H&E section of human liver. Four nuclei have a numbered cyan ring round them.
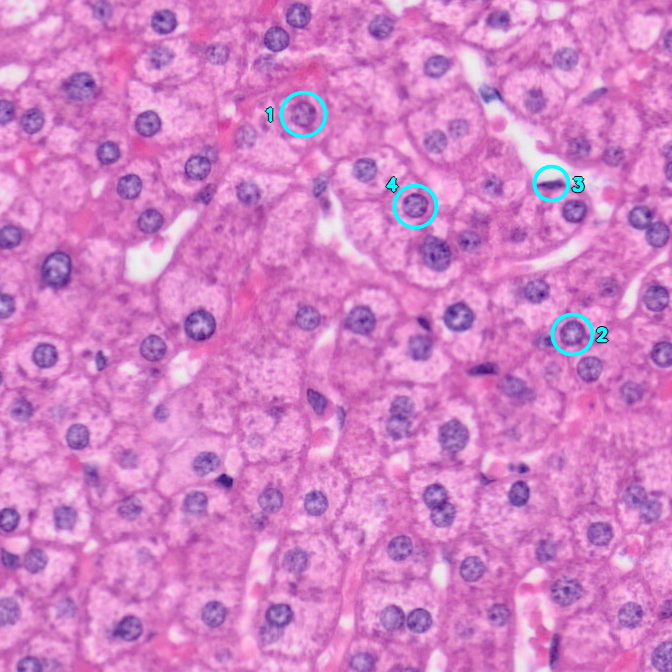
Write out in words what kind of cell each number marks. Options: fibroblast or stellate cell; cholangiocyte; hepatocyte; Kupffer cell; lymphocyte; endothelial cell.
Cells 1, 2 and 4 are hepatocytes. Cell 3 is an endothelial cell.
